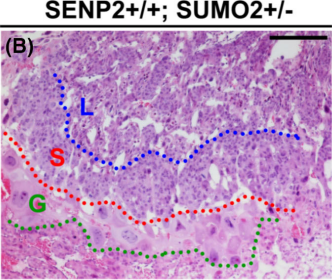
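This placental section shows labyrinth, spongiotrophoblast and trophoblast giant cell layers from top to bottom. A thick band of densely packed small cells with purple nuclei forms the spongiotrophoblast in the middle. At the bottom a layer of large cells with big nuclei and pale pink cytoplasm marks the trophoblast giant cells.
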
